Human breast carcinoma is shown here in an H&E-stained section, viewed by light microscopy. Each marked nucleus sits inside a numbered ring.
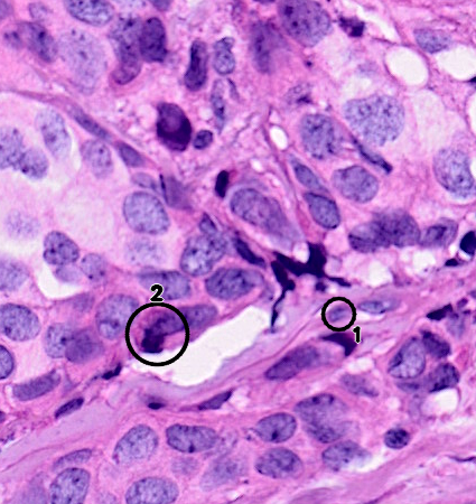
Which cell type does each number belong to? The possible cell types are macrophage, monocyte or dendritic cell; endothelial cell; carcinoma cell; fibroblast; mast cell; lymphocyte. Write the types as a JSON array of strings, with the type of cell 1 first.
["endothelial cell", "carcinoma cell"]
